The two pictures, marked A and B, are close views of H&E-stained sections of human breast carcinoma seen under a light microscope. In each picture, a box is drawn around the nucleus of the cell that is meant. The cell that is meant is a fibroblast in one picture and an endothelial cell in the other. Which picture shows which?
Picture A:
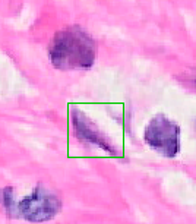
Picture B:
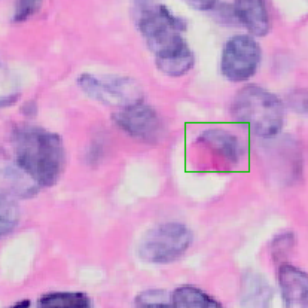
A: fibroblast
B: endothelial cell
